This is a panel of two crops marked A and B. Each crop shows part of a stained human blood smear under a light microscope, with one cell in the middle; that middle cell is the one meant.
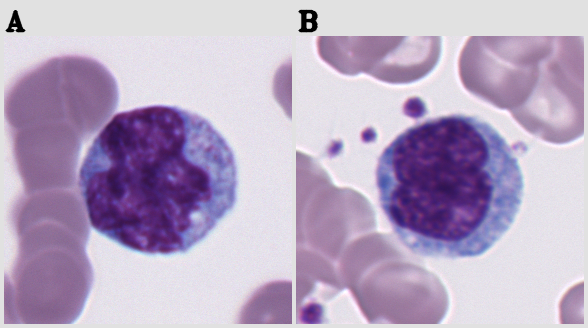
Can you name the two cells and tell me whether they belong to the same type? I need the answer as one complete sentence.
Yes, both crops show monocytes in the middle.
